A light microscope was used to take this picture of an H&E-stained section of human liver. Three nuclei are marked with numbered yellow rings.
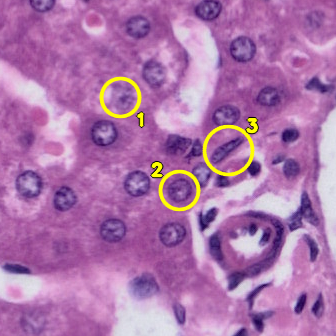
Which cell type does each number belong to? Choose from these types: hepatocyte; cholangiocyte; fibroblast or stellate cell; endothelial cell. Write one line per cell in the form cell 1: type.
cell 1: hepatocyte
cell 2: cholangiocyte
cell 3: cholangiocyte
